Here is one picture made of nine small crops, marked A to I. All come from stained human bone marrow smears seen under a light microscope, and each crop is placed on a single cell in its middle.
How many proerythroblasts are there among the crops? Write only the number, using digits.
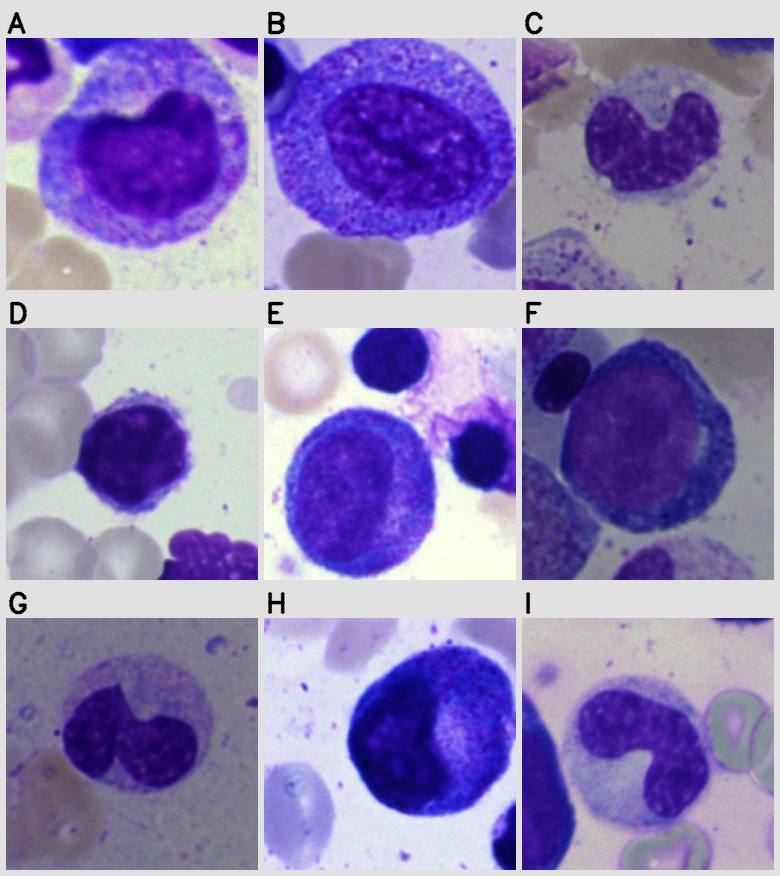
1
